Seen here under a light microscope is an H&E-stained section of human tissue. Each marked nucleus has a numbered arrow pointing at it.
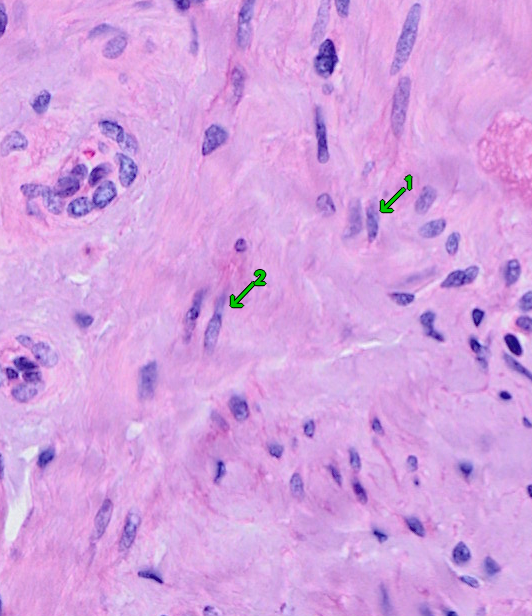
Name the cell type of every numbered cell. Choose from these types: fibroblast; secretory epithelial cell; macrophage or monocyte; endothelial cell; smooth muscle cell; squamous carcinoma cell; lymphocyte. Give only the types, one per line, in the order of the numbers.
fibroblast
smooth muscle cell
